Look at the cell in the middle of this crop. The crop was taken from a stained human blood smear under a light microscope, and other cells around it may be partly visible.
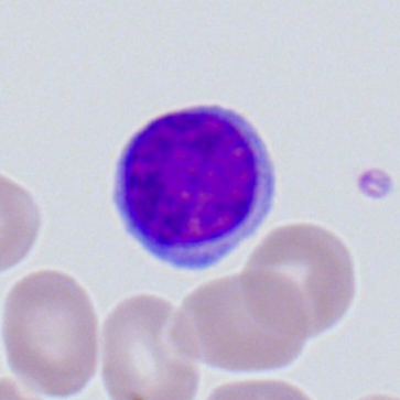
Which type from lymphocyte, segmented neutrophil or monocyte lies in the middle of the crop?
lymphocyte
